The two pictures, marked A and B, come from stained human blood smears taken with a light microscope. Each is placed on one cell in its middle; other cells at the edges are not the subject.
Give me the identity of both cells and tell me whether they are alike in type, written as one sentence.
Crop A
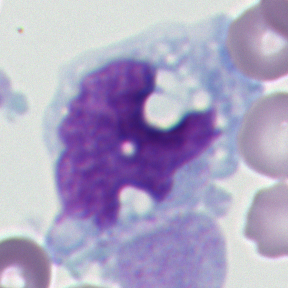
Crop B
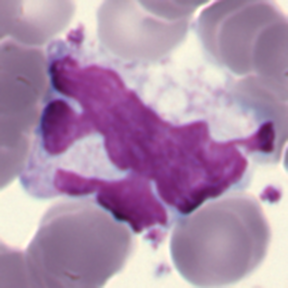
Yes, both of the crops show monocytes.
